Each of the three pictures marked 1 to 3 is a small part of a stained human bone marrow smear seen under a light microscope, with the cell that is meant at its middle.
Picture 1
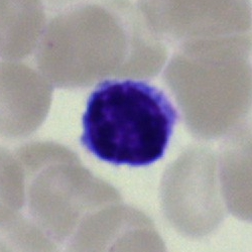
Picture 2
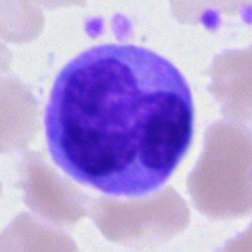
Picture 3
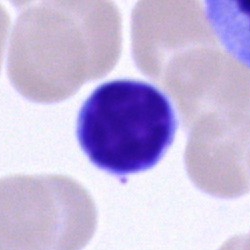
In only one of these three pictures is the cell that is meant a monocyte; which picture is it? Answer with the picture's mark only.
2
